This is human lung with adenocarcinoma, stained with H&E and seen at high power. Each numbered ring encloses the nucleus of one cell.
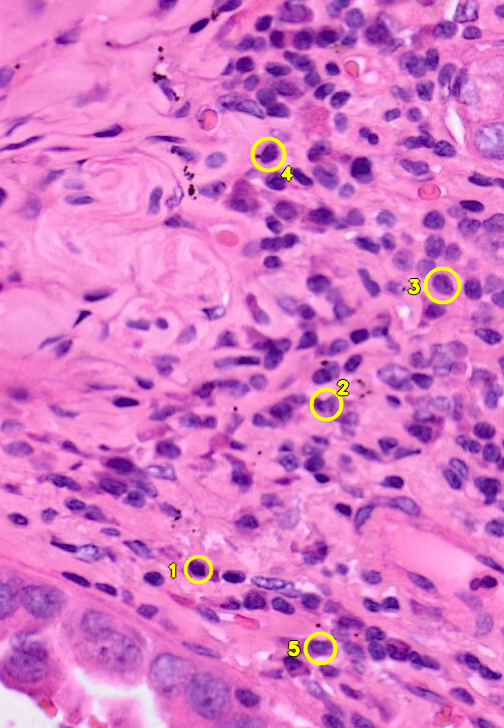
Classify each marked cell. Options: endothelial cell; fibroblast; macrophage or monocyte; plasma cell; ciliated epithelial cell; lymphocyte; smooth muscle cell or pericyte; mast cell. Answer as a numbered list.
1. plasma cell
2. plasma cell
3. lymphocyte
4. lymphocyte
5. plasma cell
